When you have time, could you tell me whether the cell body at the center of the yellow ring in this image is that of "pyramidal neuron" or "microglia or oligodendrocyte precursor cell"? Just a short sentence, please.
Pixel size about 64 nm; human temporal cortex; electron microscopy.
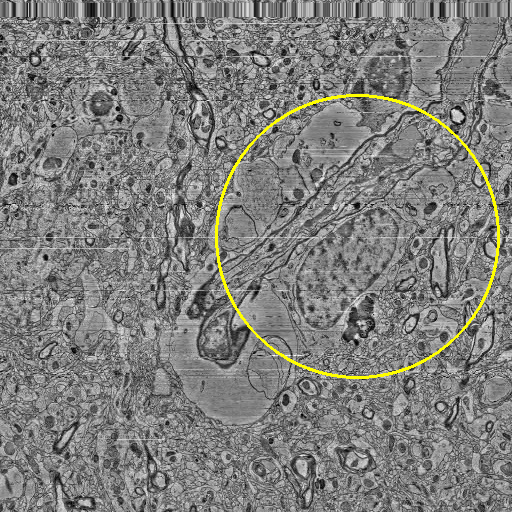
The cell body at the center of the ring is that of a microglial cell or oligodendrocyte precursor cell.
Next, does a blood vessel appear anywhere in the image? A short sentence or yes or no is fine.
Yes, the picture includes a blood vessel.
